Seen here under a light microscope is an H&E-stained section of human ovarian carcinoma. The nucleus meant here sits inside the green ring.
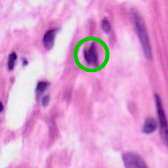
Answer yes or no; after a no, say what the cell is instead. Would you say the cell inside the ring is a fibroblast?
Yes.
